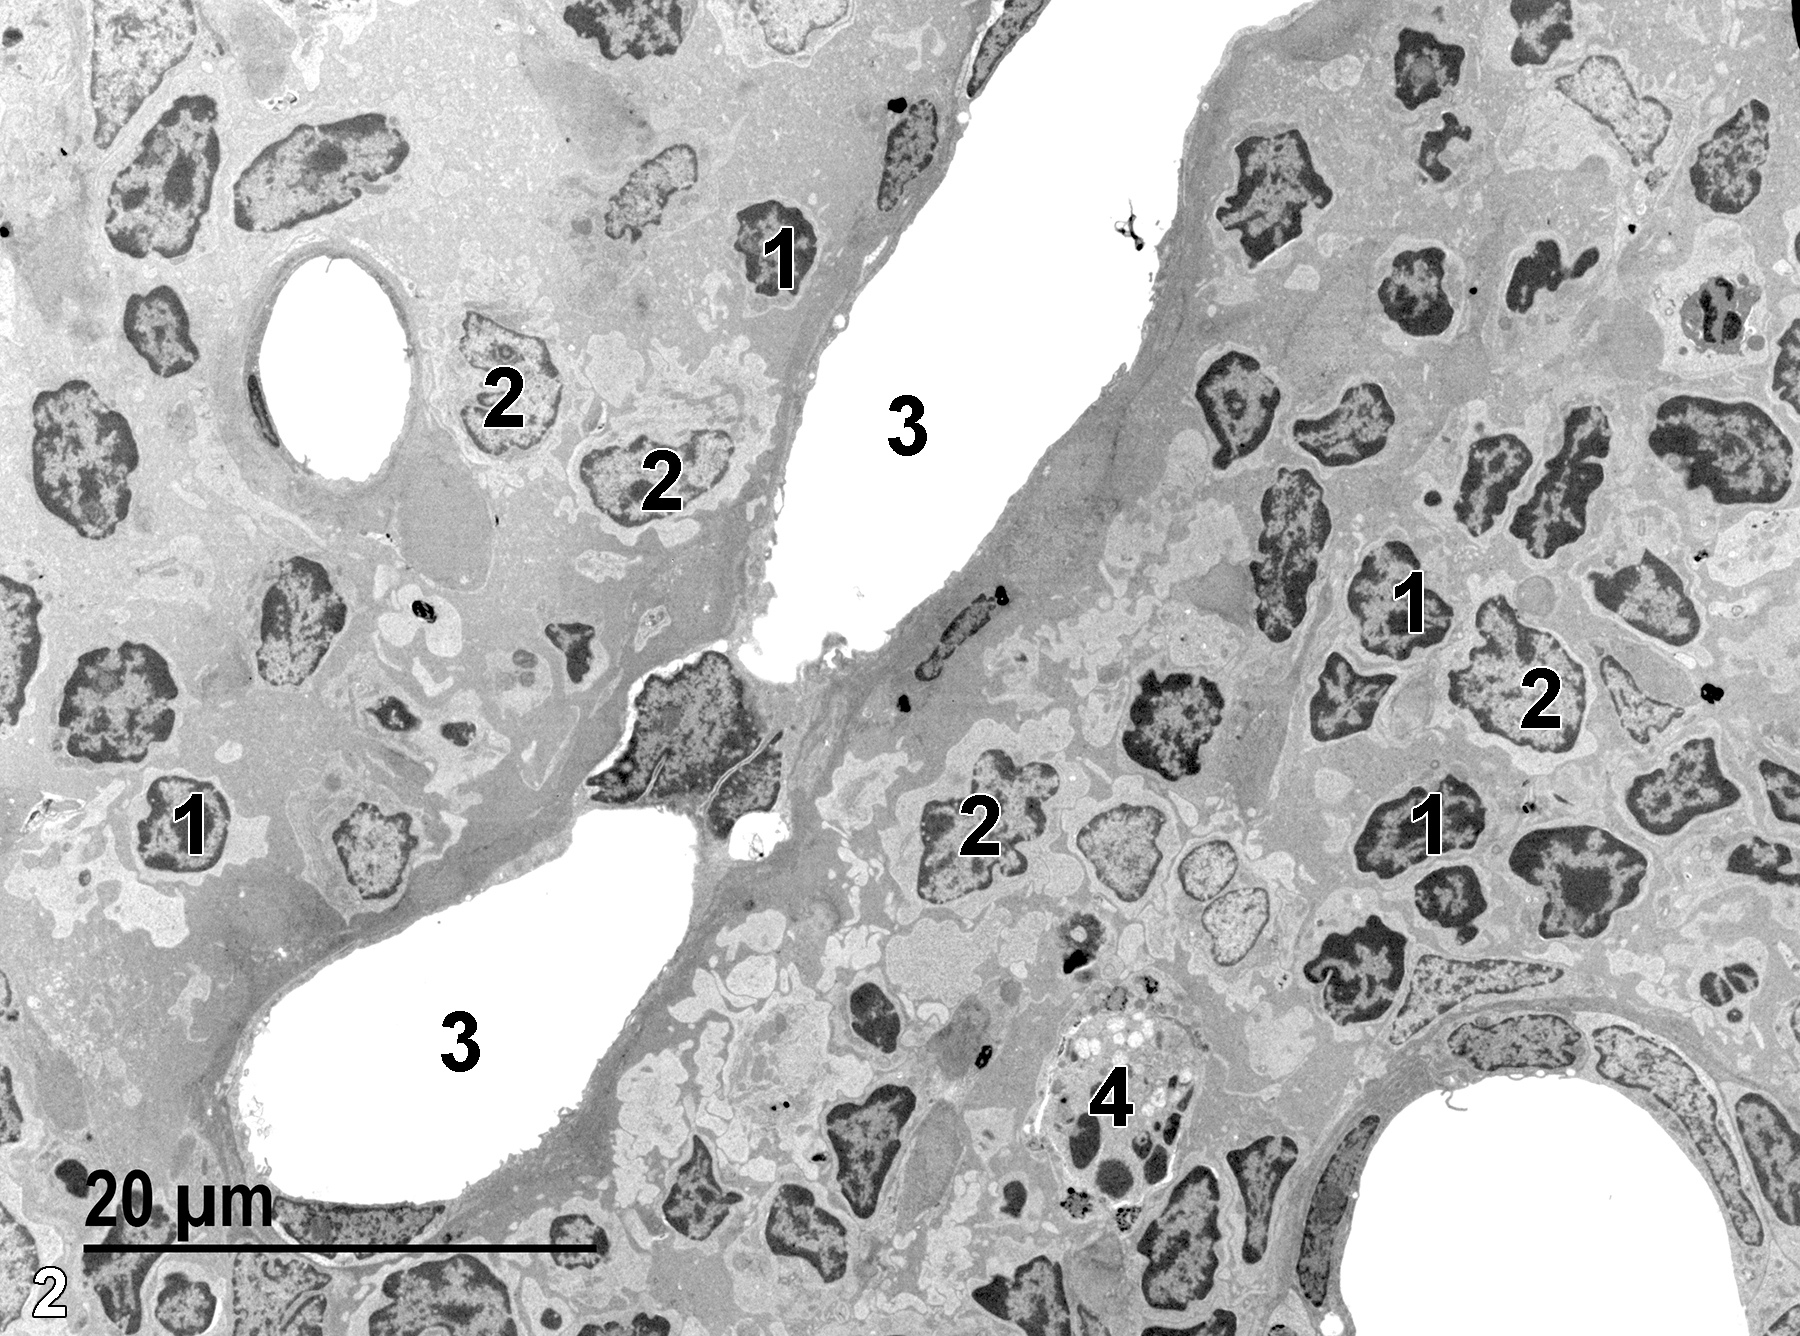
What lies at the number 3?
Blood vessel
